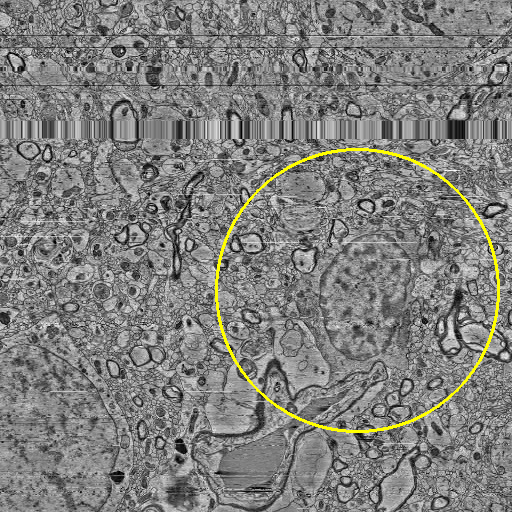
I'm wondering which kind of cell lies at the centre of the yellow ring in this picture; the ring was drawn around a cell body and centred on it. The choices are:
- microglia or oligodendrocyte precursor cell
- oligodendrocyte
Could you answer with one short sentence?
At the centre of the ring lies an oligodendrocyte.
